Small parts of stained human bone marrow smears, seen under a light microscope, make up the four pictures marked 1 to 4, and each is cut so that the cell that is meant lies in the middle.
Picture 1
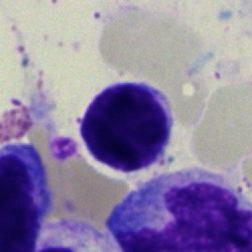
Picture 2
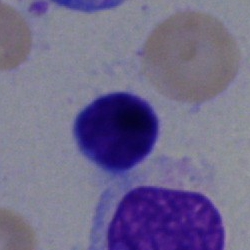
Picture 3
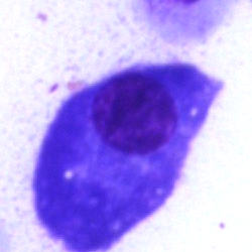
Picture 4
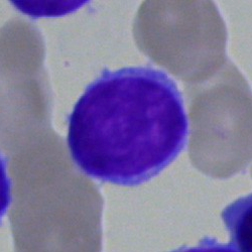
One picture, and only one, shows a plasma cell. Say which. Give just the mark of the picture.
3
